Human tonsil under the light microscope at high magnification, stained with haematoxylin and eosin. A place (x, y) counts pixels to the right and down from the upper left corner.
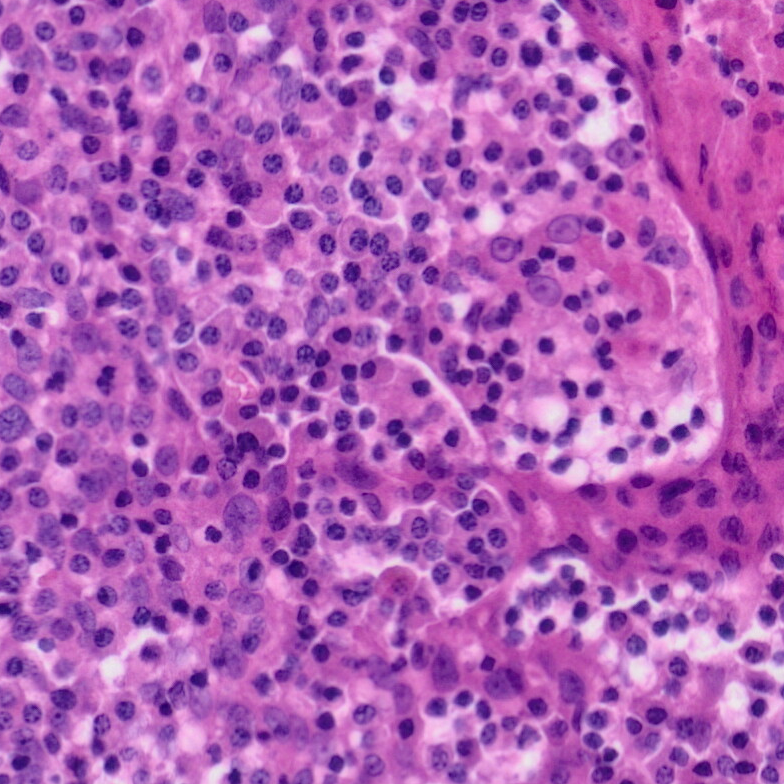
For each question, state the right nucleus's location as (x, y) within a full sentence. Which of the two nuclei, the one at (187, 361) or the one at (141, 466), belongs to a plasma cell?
The nucleus of a plasma cell is the one at (187, 361).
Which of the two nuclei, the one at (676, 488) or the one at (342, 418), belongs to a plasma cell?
The one belonging to a plasma cell is the nucleus at (342, 418), not the other.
